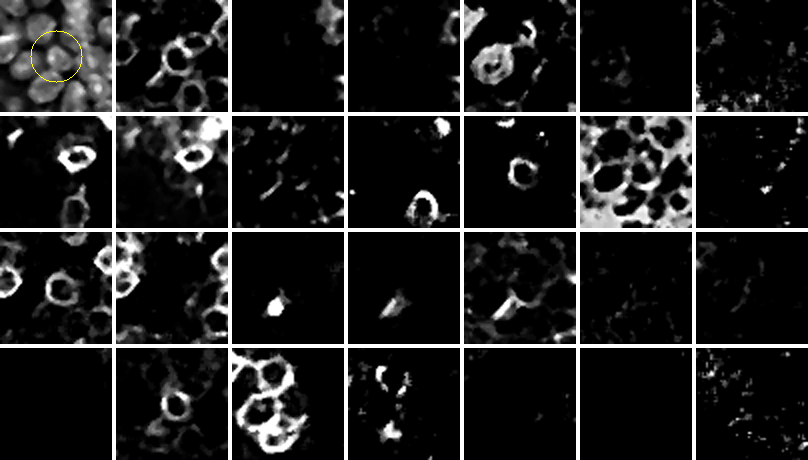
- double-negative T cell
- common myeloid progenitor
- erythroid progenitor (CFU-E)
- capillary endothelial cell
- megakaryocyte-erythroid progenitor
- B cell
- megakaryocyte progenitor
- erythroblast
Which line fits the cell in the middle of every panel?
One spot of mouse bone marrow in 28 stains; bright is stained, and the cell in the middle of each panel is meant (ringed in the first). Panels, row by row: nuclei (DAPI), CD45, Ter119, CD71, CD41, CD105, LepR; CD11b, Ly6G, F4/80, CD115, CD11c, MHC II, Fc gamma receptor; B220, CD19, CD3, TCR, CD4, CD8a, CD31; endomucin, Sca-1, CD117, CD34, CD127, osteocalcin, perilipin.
megakaryocyte progenitor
